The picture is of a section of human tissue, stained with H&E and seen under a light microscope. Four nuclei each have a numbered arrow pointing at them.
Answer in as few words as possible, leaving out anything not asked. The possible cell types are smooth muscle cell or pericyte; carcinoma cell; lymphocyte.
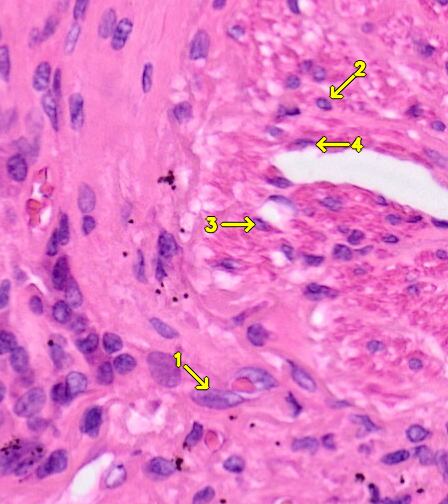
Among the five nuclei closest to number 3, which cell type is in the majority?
smooth muscle cell or pericyte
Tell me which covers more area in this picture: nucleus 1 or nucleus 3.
1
